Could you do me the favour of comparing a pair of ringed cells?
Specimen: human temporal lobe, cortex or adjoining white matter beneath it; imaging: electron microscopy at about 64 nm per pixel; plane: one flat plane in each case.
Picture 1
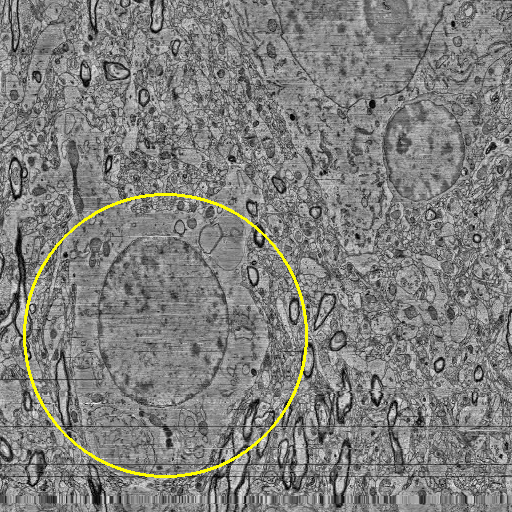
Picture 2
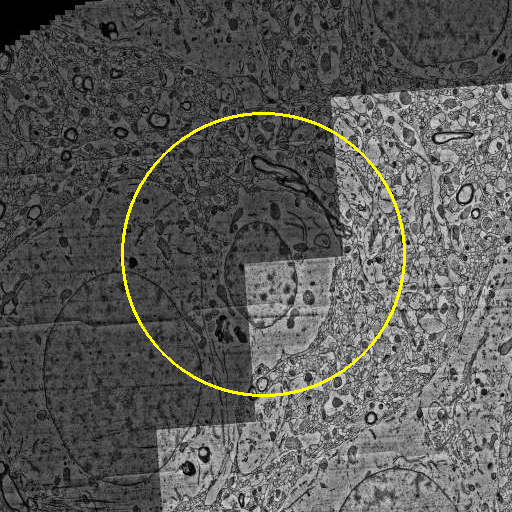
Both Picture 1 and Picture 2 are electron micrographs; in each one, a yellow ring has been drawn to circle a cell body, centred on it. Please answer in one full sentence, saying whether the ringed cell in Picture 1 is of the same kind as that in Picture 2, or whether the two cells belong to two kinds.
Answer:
The ringed cell in Picture 1 is of the same kind as that in Picture 2.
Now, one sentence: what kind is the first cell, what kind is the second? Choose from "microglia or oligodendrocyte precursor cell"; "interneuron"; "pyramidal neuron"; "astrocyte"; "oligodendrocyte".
In the first picture and in the second, the ring is centred on an astrocyte.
